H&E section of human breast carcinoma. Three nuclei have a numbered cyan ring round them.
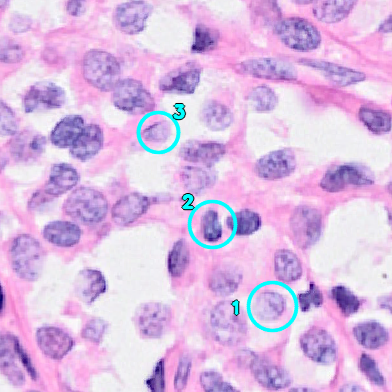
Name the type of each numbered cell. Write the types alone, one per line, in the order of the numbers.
carcinoma cell
lymphocyte
carcinoma cell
